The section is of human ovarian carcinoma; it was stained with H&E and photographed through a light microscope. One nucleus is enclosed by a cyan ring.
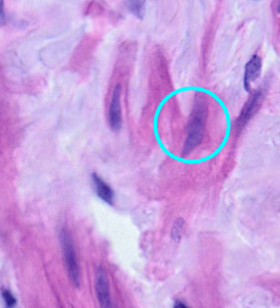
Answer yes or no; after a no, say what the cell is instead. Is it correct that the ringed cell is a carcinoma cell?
No, it is a smooth muscle cell.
